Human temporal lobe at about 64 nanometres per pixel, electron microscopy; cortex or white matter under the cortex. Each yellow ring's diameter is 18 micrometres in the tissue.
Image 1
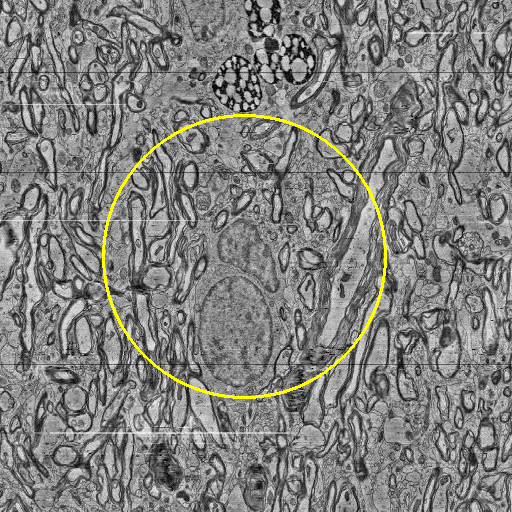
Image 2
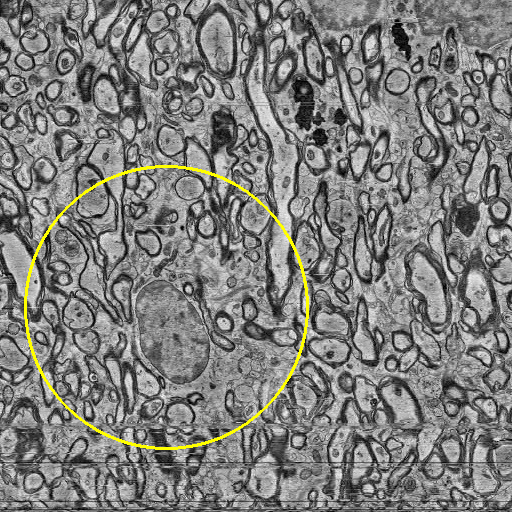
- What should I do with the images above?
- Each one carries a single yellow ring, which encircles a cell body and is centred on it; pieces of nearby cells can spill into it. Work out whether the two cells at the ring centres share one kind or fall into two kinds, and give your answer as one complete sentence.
The ring-centre cells of Image 1 and Image 2 fall into two kinds.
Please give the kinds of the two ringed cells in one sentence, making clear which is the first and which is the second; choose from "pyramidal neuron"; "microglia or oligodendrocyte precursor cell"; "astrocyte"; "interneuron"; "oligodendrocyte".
In the second picture the ringed cell is a microglial cell or oligodendrocyte precursor cell; in the first it is an oligodendrocyte.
